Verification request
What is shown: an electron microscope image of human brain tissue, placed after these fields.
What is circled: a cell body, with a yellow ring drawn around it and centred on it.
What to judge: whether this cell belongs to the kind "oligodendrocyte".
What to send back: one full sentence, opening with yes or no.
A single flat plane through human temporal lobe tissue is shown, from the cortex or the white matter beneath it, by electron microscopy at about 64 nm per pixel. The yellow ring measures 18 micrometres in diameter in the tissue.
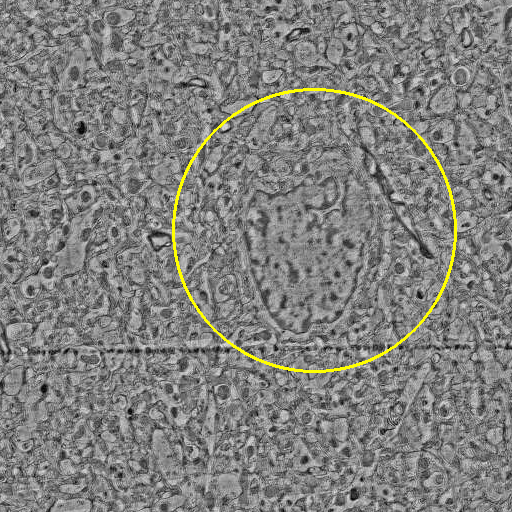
No, the cell on which the yellow ring is centred in the picture is of a different kind.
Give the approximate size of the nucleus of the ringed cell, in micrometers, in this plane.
About 11 by 8 micrometers for the nucleus, in this plane.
